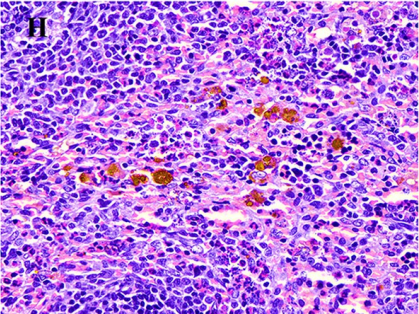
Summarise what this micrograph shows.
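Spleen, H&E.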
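The field is crowded with small round cells with dark nuclei, among which scattered larger cells carry coarse golden-brown granular pigment in their cytoplasm. The pigmented cells lie singly or in small groups, spread in a band across the middle of the field.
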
